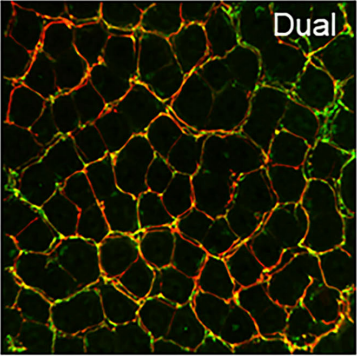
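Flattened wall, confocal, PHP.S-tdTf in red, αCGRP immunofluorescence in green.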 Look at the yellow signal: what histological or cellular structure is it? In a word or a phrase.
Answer: nerve fibers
